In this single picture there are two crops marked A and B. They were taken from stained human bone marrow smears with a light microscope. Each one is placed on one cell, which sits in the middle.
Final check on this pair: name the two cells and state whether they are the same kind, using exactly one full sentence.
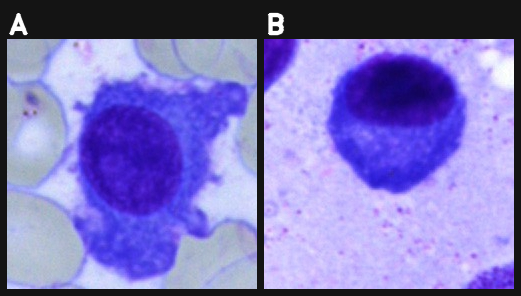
Yes, the central cells in both crops are plasma cells.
